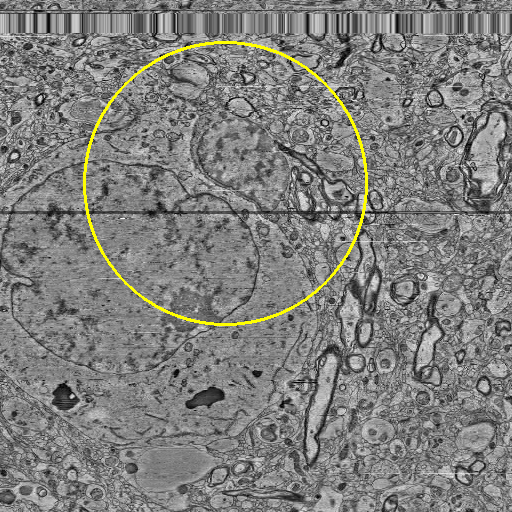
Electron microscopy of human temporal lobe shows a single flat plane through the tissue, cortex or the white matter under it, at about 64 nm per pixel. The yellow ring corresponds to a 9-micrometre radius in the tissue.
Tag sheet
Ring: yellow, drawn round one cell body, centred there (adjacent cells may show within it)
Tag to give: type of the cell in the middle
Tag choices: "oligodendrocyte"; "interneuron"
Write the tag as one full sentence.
I tag the cell centred in the yellow ring as an oligodendrocyte in this picture.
